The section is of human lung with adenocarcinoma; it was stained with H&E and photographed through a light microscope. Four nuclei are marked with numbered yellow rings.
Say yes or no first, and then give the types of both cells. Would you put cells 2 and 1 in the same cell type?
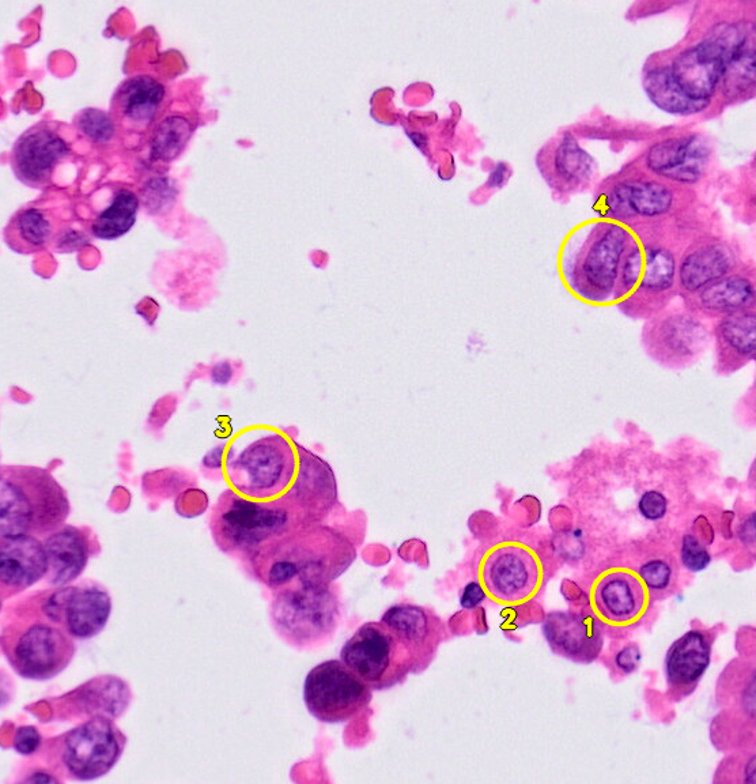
Yes, both are macrophages or monocytes.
